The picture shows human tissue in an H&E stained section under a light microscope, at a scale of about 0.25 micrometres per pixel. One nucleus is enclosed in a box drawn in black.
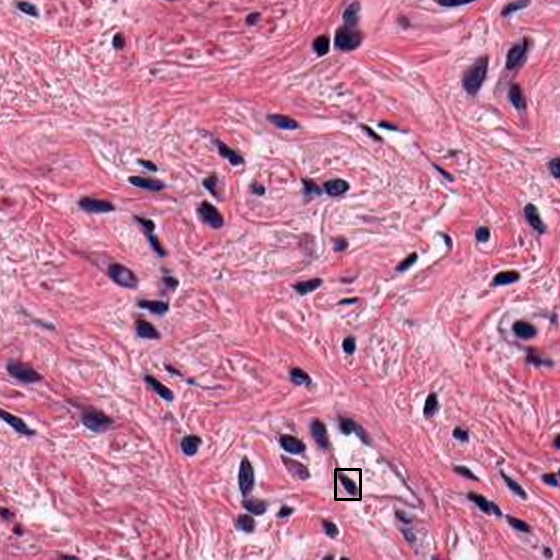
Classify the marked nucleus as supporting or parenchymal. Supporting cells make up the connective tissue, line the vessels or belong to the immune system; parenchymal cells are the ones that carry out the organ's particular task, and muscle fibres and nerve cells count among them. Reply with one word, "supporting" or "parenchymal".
supporting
